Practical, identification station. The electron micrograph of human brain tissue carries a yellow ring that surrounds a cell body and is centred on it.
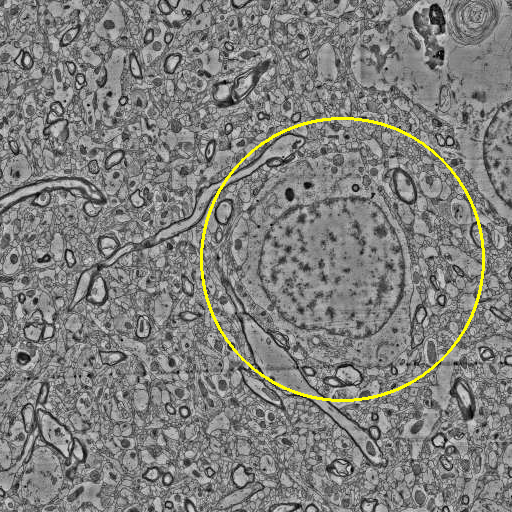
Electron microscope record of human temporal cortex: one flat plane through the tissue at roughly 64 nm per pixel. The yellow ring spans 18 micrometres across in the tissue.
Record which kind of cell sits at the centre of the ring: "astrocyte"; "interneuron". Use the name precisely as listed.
interneuron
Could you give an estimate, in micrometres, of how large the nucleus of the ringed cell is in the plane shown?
Roughly 9 micrometres across, measured in this plane.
